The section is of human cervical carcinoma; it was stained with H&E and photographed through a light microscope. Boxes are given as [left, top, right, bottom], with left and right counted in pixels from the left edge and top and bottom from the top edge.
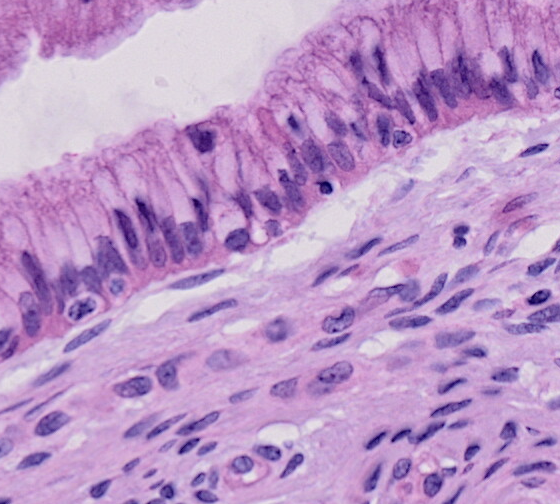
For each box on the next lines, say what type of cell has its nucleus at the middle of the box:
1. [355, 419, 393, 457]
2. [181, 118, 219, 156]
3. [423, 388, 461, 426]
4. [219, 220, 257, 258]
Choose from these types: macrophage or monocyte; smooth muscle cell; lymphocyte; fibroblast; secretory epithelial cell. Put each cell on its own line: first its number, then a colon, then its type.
1: fibroblast
2: secretory epithelial cell
3: fibroblast
4: secretory epithelial cell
